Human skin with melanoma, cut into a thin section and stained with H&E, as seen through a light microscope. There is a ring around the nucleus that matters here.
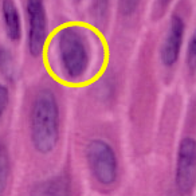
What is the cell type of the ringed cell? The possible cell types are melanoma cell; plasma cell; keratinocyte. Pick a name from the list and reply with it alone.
keratinocyte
